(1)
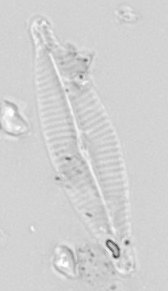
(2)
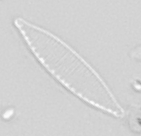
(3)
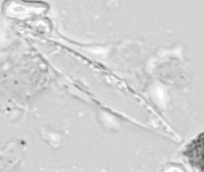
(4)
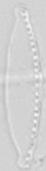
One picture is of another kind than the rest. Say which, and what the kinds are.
Picture 1 shows Navicula; the rest show Nitzschia.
